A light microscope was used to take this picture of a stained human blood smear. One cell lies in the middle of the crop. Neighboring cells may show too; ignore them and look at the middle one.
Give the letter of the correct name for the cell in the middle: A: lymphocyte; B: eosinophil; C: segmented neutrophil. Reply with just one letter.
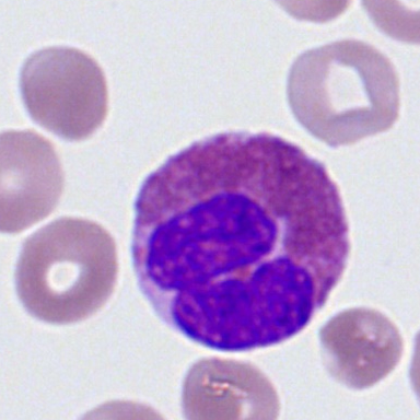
B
